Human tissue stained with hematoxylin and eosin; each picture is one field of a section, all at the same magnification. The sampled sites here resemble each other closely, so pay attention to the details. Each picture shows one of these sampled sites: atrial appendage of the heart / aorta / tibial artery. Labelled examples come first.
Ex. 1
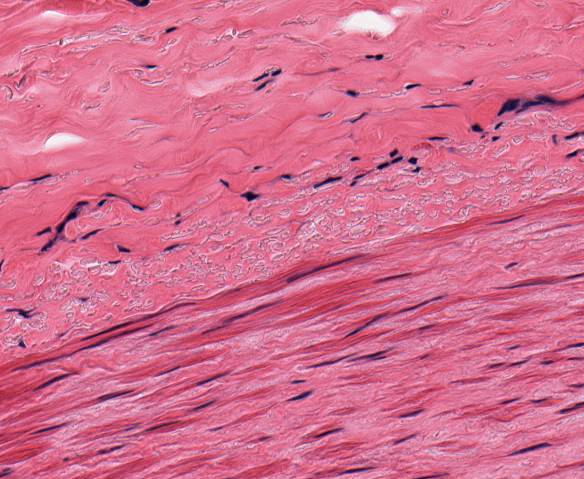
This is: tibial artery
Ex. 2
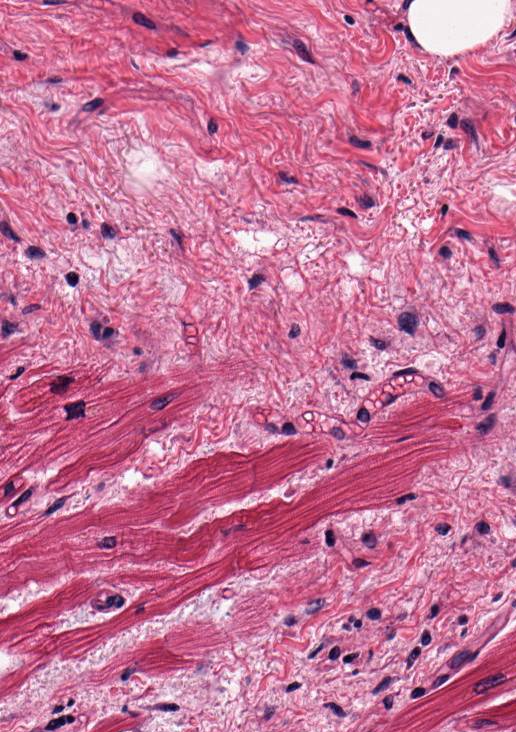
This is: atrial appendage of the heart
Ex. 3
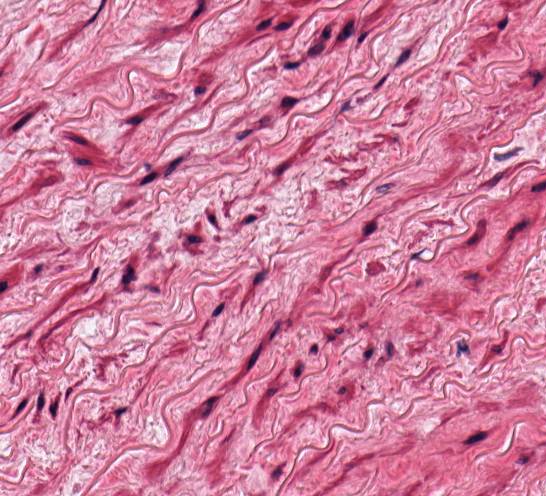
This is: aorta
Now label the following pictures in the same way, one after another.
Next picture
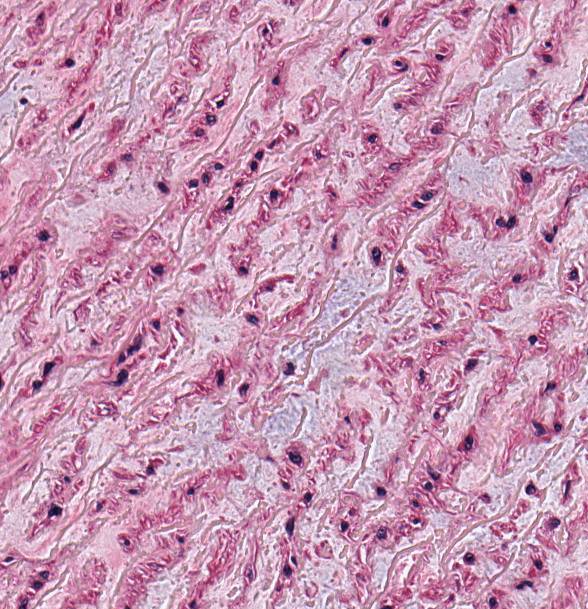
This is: aorta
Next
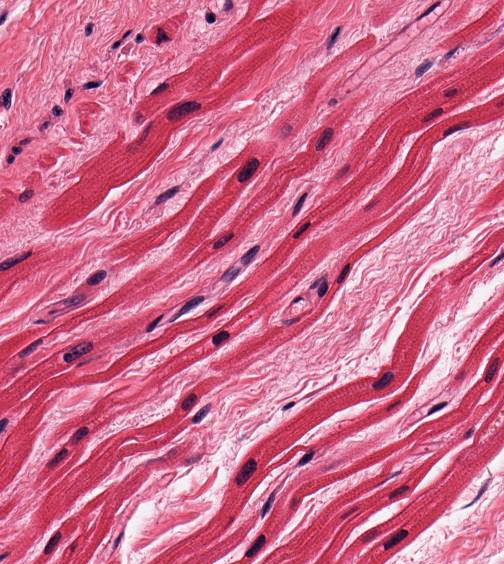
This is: atrial appendage of the heart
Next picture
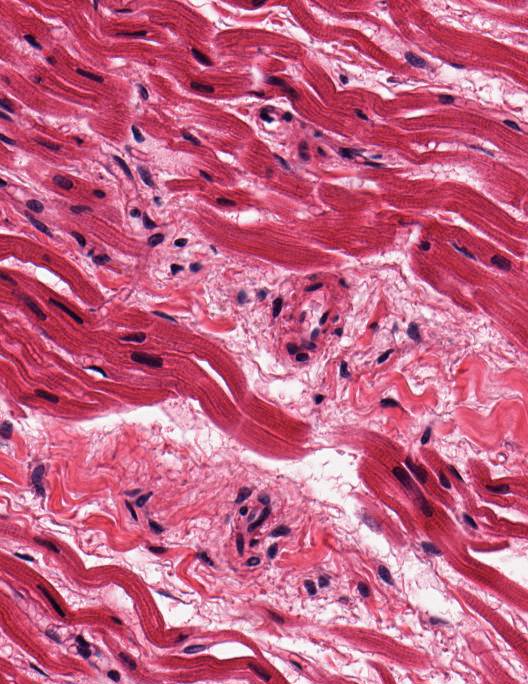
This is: atrial appendage of the heart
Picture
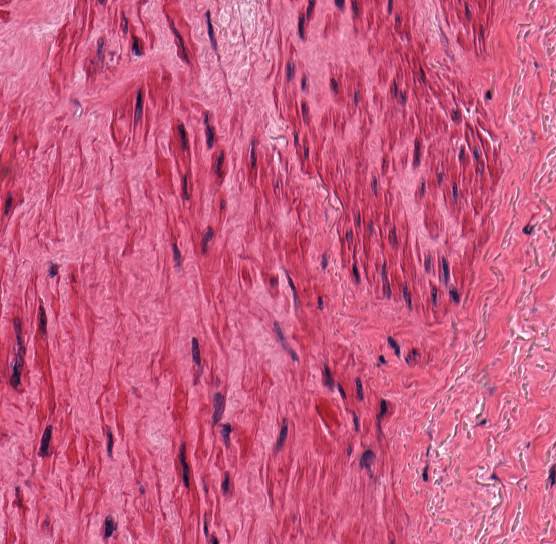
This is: tibial artery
